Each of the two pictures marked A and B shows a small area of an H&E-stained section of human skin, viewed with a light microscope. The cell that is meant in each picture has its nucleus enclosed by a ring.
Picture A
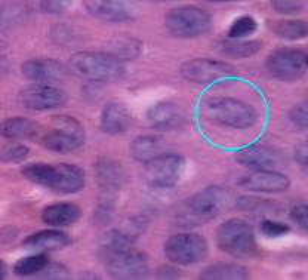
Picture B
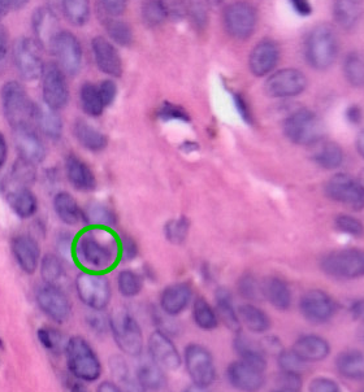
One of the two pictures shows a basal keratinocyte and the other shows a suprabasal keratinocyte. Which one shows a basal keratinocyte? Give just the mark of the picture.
B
